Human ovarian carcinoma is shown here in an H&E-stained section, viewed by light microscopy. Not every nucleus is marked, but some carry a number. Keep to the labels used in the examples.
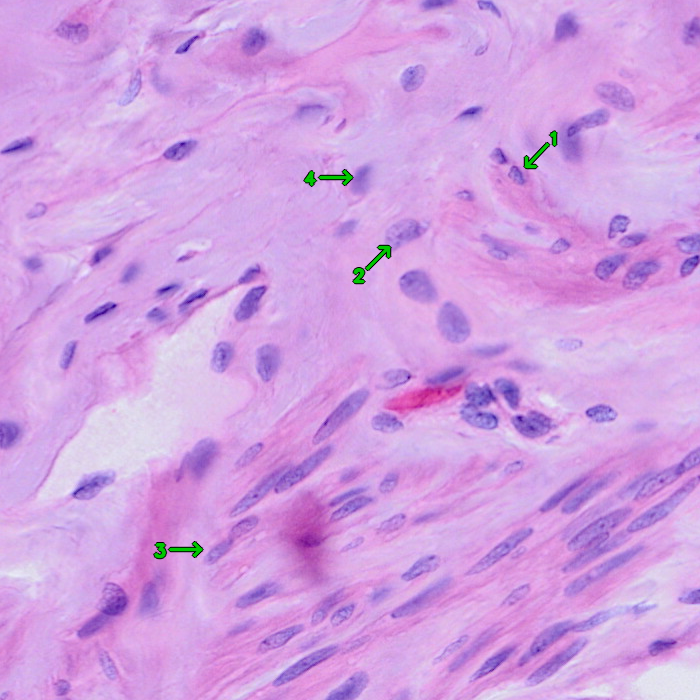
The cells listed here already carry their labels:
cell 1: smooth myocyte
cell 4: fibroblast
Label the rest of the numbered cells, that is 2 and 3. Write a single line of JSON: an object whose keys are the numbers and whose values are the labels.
{"2": "fibroblast", "3": "smooth myocyte"}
